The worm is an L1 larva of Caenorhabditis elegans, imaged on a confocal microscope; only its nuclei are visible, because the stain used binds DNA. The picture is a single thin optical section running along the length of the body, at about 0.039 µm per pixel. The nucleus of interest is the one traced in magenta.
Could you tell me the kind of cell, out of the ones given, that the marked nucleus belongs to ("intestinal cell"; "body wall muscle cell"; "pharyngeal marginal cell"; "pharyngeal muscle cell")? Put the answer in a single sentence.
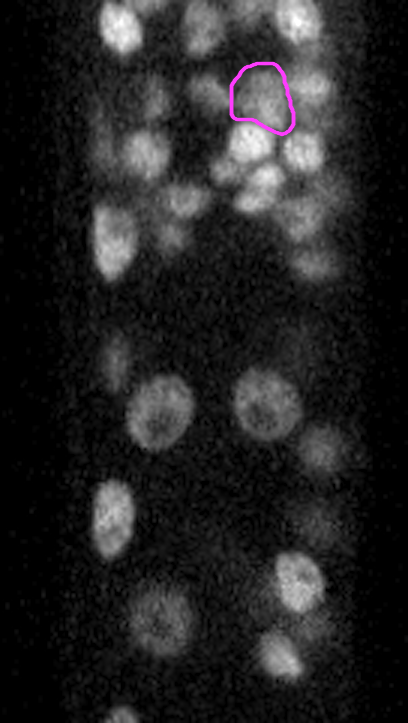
It is the nucleus of a pharyngeal marginal cell.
